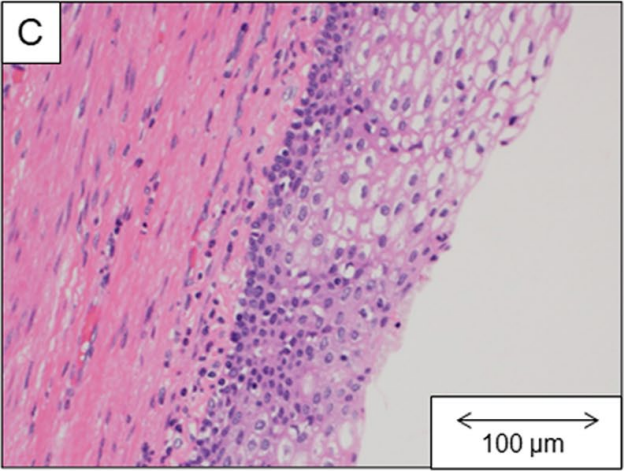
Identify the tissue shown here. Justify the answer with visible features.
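Several layers of cells line the free surface facing an empty space. A basal row of small, crowded, dark nuclei sits against the pink fibrous wall. Cells above the basal row are larger and polygonal with pale cytoplasm and distinct borders.
Conclusion: stratified squamous epithelium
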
